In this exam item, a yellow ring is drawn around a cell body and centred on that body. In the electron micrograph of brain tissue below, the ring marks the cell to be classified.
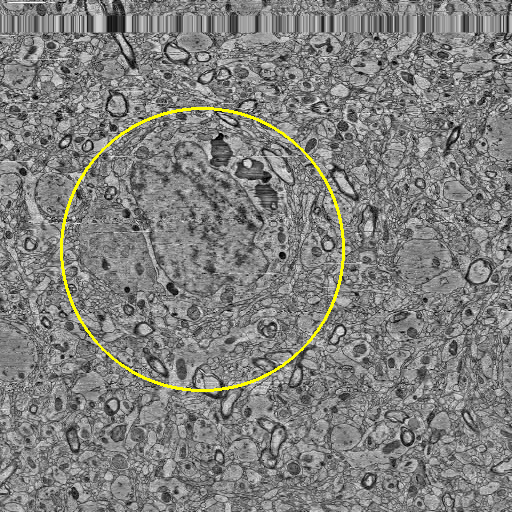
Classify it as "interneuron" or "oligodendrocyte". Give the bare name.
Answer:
interneuron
